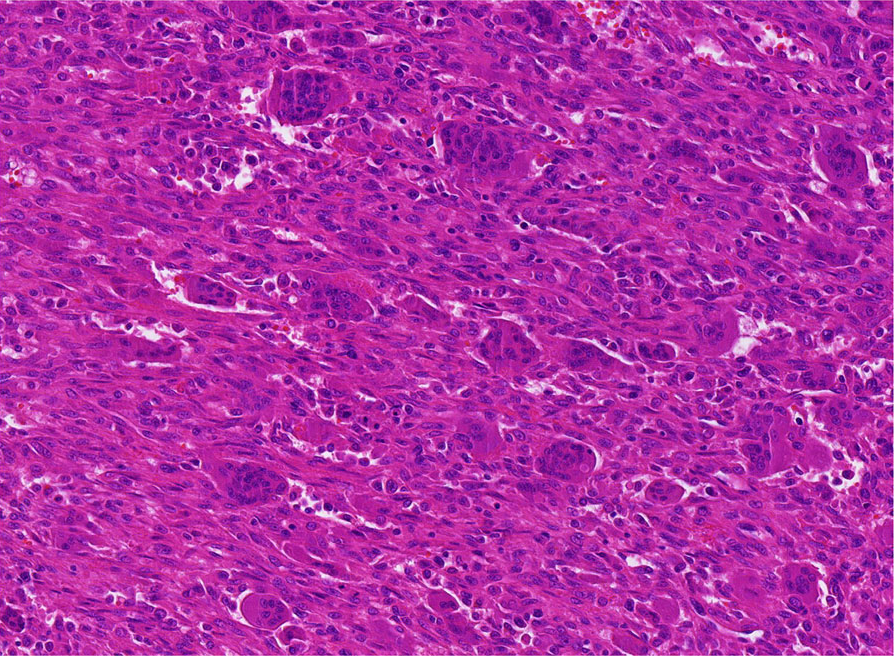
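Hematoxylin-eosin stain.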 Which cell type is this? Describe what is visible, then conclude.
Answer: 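Scattered large cells hold dozens of clustered oval nuclei each. These large cells have abundant pink cytoplasm and are many times the size of the surrounding cells.
Conclusion: multinucleated giant cells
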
